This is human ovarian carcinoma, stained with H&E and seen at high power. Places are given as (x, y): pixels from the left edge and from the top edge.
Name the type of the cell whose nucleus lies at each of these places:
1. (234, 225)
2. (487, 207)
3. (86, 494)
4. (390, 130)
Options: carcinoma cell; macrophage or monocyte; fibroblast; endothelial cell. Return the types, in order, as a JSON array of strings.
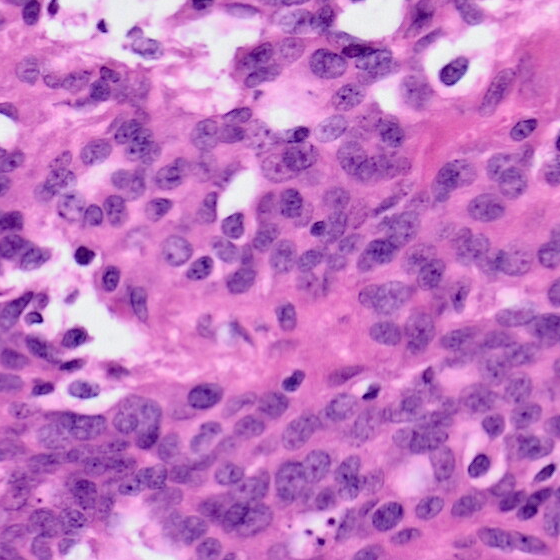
["macrophage or monocyte", "carcinoma cell", "carcinoma cell", "carcinoma cell"]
